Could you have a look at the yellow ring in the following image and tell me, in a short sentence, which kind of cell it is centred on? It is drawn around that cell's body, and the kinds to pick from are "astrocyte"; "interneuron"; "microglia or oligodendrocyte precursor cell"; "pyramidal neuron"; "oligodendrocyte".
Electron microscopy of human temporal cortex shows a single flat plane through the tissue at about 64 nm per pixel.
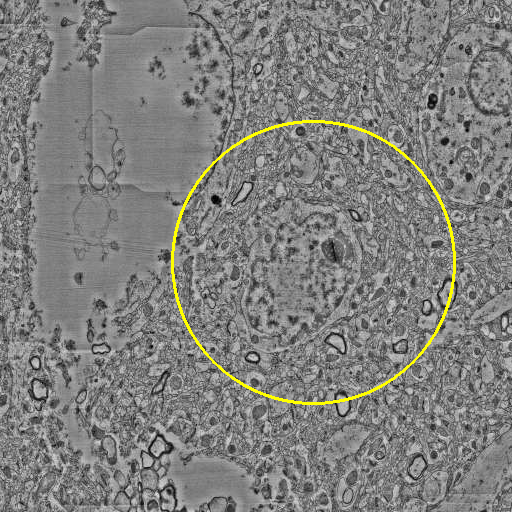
The ring is centred on the body of an interneuron.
